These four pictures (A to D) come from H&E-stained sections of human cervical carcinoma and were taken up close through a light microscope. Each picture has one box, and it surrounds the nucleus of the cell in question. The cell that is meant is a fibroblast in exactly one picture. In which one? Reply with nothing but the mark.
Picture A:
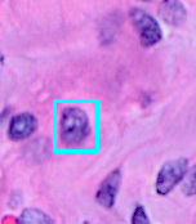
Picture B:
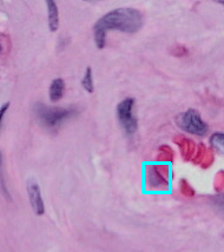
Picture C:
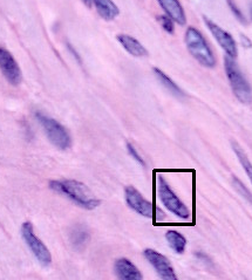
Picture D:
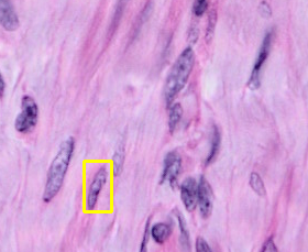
C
